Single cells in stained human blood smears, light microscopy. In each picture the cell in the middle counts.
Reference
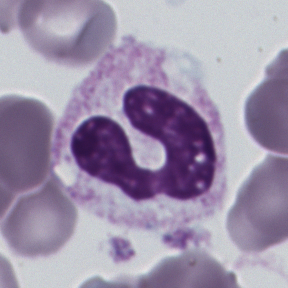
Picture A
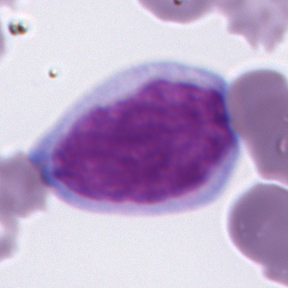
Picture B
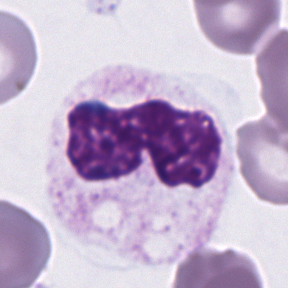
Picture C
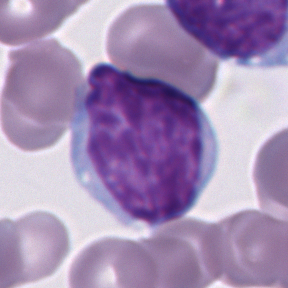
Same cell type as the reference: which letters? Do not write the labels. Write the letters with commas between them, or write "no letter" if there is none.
B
